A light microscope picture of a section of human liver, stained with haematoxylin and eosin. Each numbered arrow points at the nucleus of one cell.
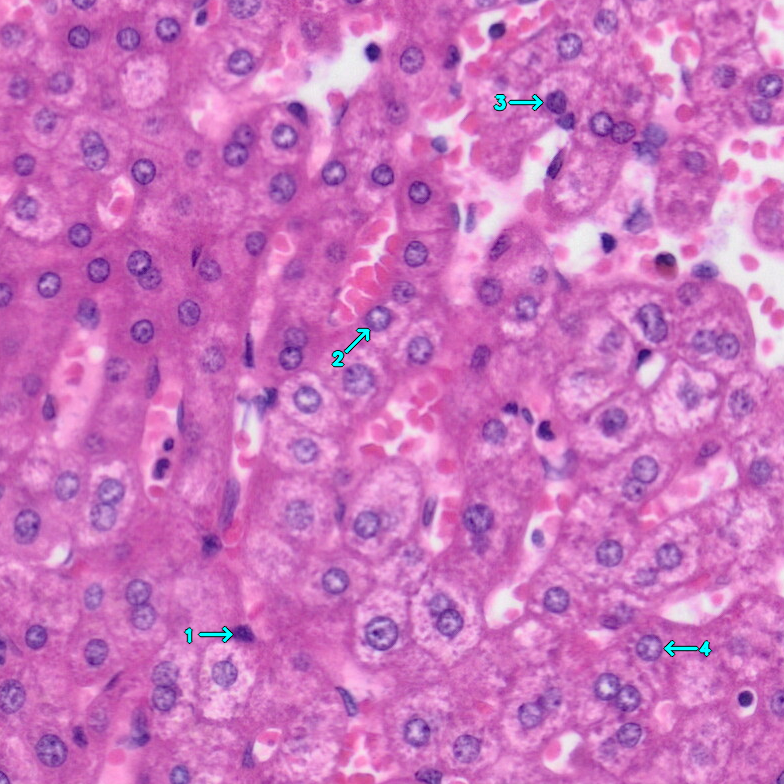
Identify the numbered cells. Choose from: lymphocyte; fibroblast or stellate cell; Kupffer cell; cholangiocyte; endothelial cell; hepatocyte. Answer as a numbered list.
1. fibroblast or stellate cell
2. hepatocyte
3. hepatocyte
4. hepatocyte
